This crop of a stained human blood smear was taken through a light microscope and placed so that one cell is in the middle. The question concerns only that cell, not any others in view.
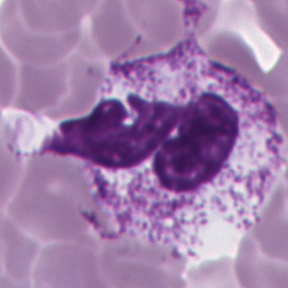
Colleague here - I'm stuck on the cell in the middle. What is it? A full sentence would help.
The cell occupying the middle of the crop is a segmented neutrophil.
